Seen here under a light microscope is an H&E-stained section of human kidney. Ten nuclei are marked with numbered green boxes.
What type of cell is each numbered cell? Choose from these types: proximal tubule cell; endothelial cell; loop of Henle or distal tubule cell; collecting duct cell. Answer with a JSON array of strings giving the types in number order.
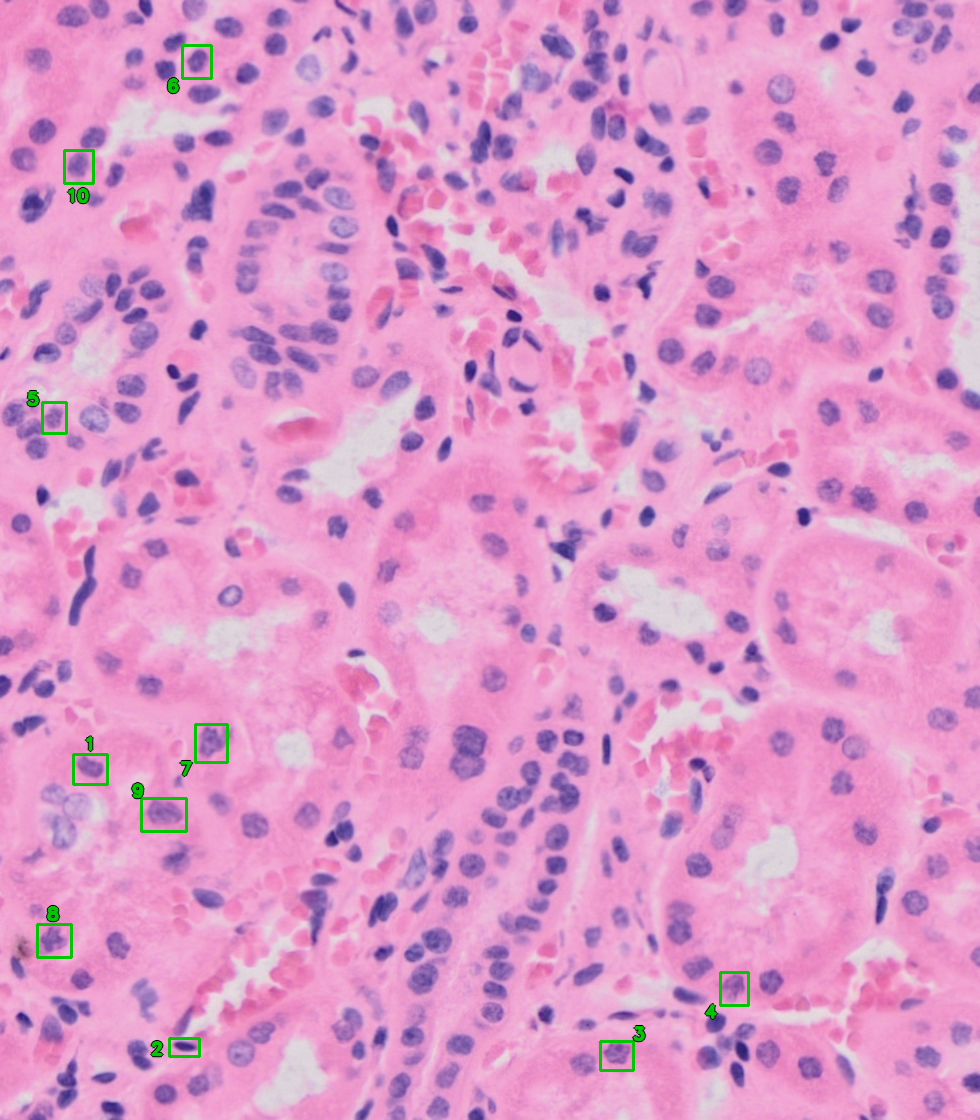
["proximal tubule cell", "endothelial cell", "proximal tubule cell", "proximal tubule cell", "collecting duct cell", "loop of Henle or distal tubule cell", "proximal tubule cell", "proximal tubule cell", "proximal tubule cell", "loop of Henle or distal tubule cell"]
